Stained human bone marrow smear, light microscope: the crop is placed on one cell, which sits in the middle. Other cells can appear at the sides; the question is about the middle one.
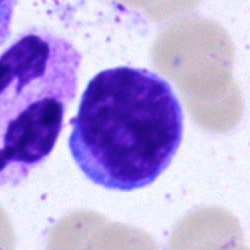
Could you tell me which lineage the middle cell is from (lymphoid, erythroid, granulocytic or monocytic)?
lymphoid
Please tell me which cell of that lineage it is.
lymphocyte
